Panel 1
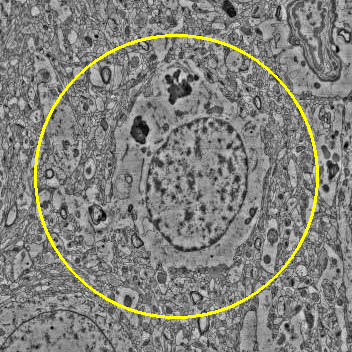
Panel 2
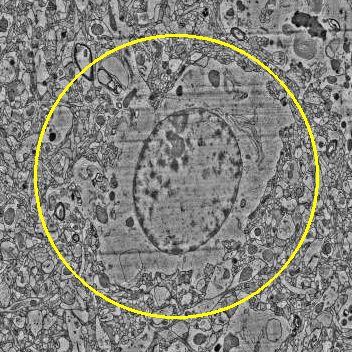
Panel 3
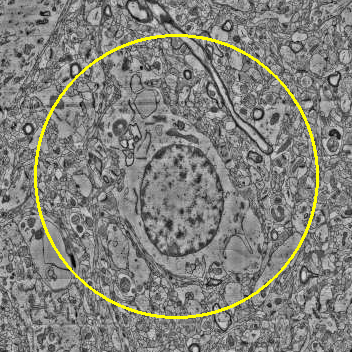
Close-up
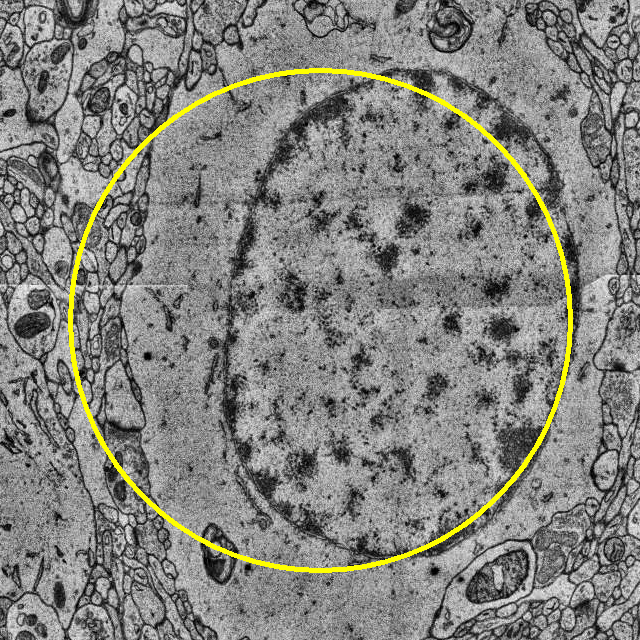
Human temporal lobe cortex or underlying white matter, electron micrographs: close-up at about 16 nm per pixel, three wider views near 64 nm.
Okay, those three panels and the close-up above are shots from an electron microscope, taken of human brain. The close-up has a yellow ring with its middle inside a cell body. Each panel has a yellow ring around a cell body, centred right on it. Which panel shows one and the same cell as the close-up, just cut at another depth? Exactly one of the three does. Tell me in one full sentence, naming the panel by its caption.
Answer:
The close-up singles out the cell ringed in Panel 1.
